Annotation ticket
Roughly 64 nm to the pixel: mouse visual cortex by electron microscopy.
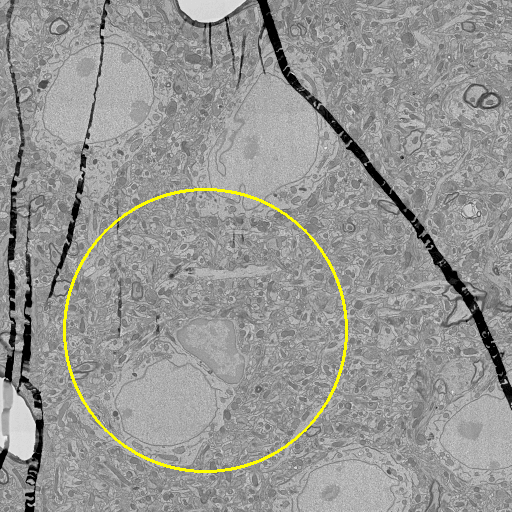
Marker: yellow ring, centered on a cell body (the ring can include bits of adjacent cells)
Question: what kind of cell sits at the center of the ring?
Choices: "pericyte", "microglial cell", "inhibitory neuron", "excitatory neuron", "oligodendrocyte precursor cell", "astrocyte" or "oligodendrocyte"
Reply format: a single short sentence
The ring is centered on a microglial cell.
